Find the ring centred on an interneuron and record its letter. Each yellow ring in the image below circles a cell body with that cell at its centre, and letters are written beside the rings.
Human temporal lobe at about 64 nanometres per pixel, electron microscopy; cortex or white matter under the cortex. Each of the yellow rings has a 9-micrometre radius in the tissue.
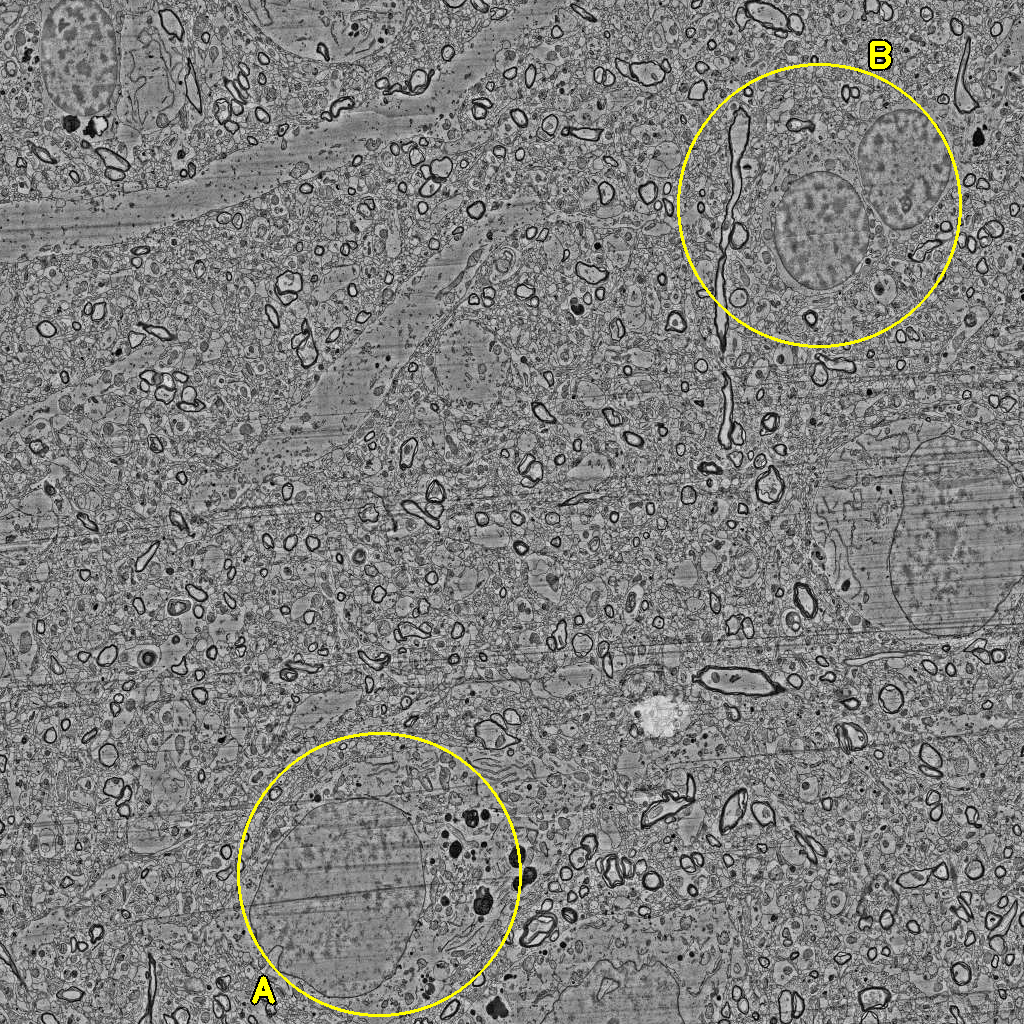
A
